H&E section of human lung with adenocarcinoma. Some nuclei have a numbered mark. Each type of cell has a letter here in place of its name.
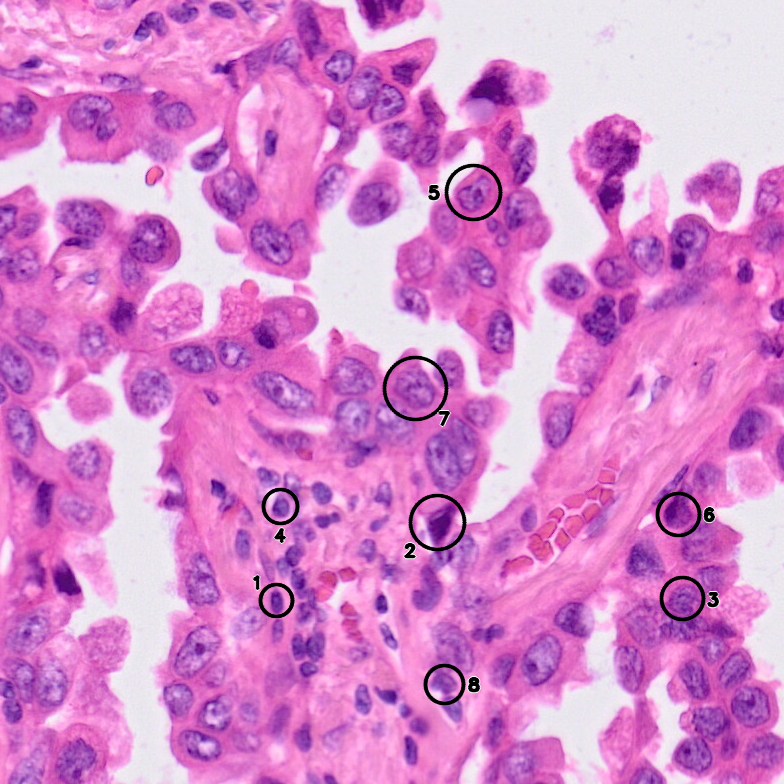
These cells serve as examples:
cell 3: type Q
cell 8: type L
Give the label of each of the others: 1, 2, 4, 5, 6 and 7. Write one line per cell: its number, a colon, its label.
1: type L
2: type Q
4: type L
5: type Q
6: type Q
7: type Q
